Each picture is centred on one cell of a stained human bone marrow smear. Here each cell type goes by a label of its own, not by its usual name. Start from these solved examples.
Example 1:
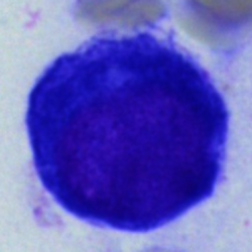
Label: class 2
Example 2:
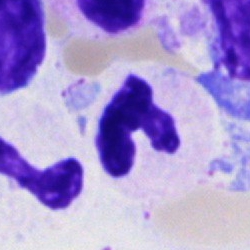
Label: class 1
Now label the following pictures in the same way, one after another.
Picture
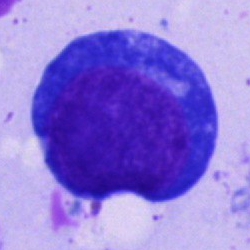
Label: class 2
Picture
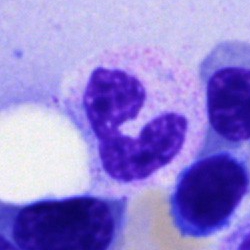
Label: class 1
